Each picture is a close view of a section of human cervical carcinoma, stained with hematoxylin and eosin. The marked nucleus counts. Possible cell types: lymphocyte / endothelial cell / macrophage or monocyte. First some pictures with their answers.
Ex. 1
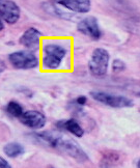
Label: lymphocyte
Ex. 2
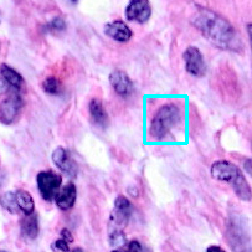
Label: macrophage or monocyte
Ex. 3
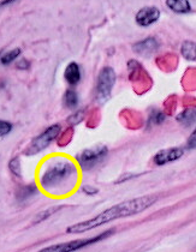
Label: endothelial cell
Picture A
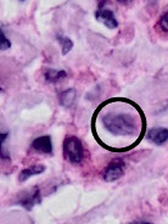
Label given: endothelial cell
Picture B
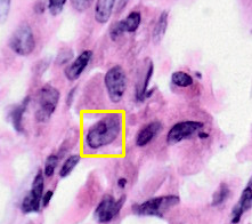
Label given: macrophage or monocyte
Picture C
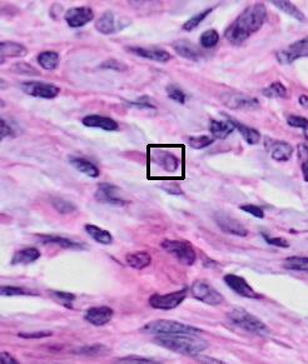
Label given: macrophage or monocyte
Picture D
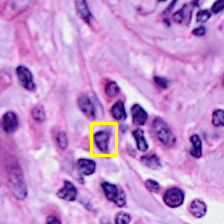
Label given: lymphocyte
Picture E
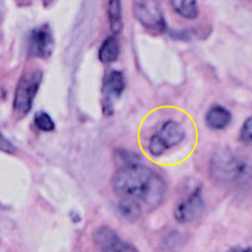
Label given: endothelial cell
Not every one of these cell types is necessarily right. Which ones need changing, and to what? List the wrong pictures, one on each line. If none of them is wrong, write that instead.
A: change endothelial cell to macrophage or monocyte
